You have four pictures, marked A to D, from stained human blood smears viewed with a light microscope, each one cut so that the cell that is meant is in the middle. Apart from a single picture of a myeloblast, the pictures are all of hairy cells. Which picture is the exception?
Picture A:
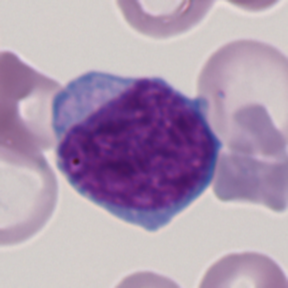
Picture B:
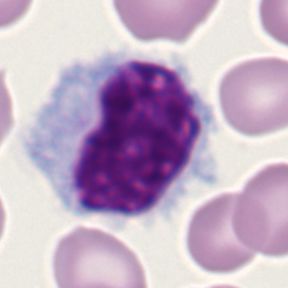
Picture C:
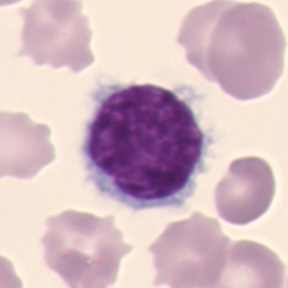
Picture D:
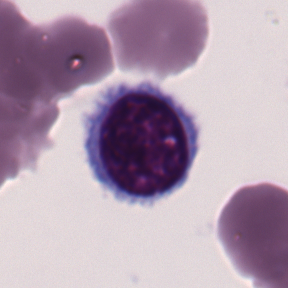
A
